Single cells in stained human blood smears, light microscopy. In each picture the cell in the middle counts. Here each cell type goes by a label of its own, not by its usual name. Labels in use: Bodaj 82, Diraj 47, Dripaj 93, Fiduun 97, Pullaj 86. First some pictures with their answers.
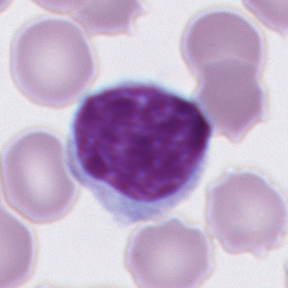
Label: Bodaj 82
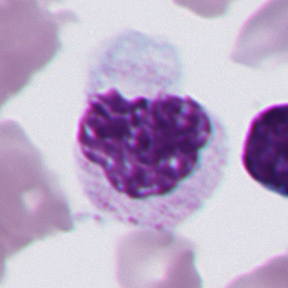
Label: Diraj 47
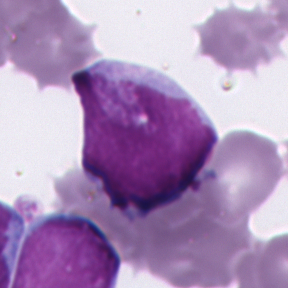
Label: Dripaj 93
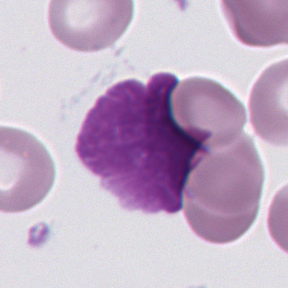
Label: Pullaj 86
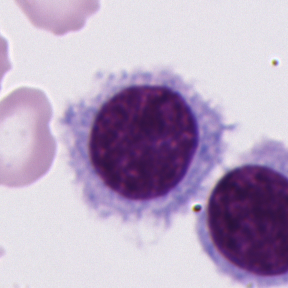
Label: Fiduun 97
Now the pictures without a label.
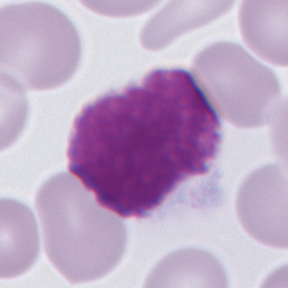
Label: Pullaj 86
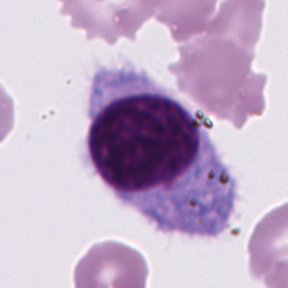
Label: Fiduun 97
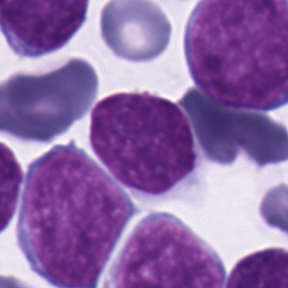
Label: Dripaj 93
